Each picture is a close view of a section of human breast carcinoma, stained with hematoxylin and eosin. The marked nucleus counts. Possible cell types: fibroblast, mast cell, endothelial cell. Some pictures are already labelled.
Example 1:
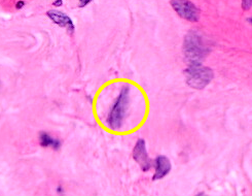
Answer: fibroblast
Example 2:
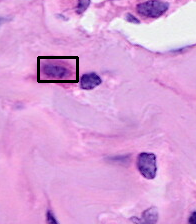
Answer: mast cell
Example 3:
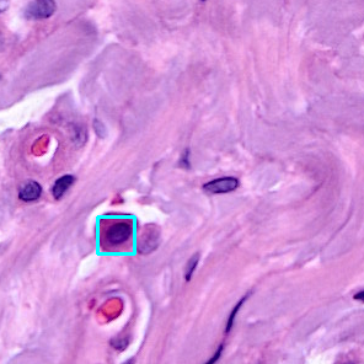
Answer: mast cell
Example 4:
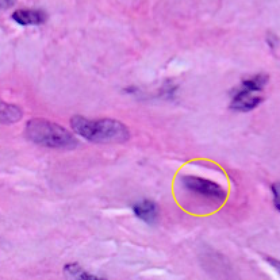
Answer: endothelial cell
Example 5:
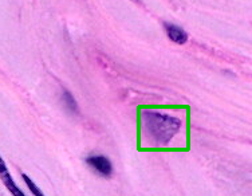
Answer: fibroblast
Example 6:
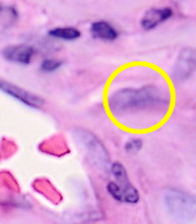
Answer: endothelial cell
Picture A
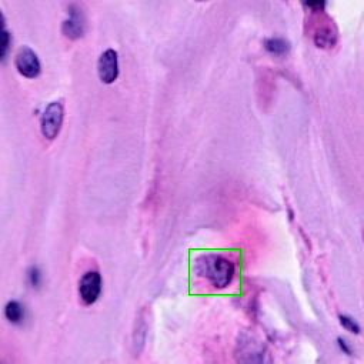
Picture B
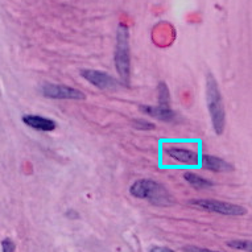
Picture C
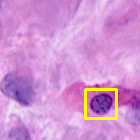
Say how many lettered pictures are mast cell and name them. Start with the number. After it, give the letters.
2: A, C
